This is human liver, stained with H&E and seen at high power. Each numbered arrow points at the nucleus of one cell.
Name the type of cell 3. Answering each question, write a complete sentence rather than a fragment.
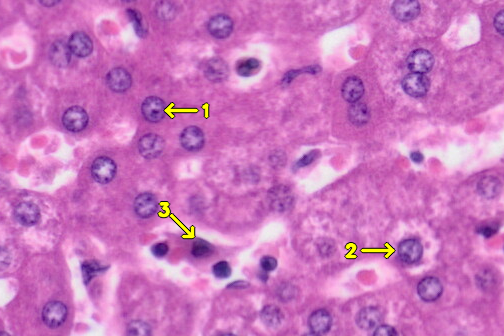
The one labeled 3 is a Kupffer cell, to put it simply.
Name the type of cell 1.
Number 1 is placed on a hepatocyte here.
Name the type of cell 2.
Corresponding to a hepatocyte is the cell labelled 2.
